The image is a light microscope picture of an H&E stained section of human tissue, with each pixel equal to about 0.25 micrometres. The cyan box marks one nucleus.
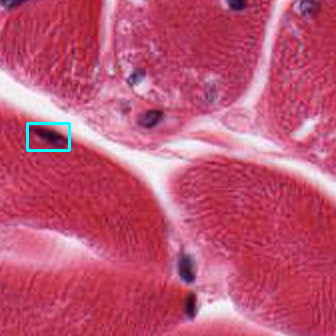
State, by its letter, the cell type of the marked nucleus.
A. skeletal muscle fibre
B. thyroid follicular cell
A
